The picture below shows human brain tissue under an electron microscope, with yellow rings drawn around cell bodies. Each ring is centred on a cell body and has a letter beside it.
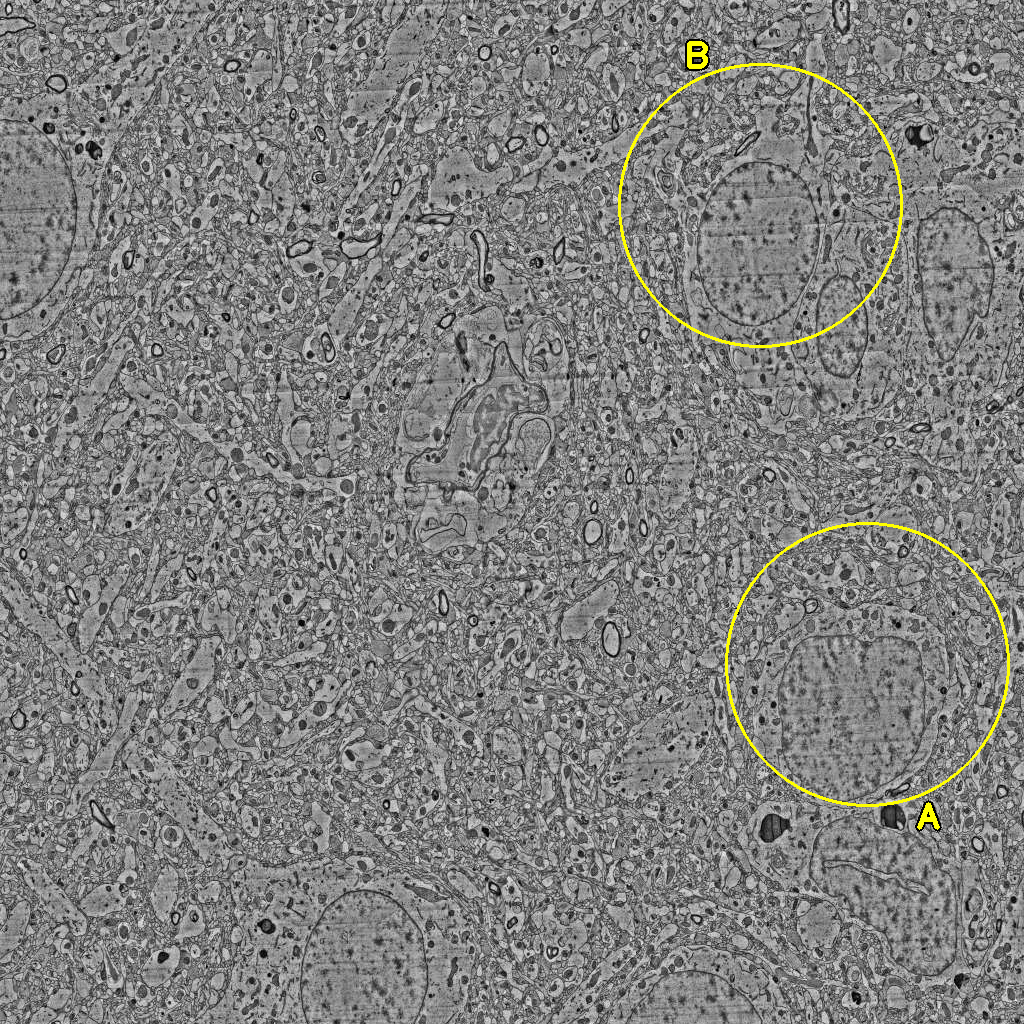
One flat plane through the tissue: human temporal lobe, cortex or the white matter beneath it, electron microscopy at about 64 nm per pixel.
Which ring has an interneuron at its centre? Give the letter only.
A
